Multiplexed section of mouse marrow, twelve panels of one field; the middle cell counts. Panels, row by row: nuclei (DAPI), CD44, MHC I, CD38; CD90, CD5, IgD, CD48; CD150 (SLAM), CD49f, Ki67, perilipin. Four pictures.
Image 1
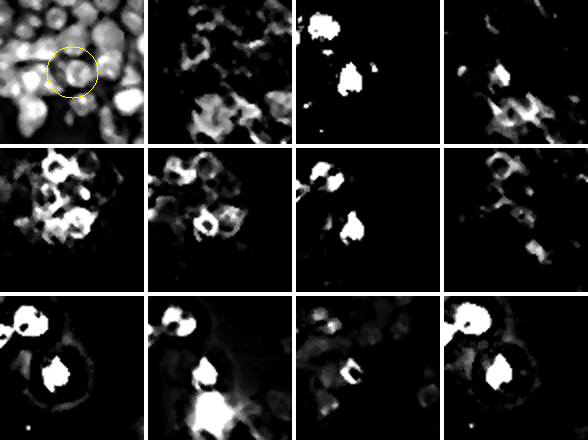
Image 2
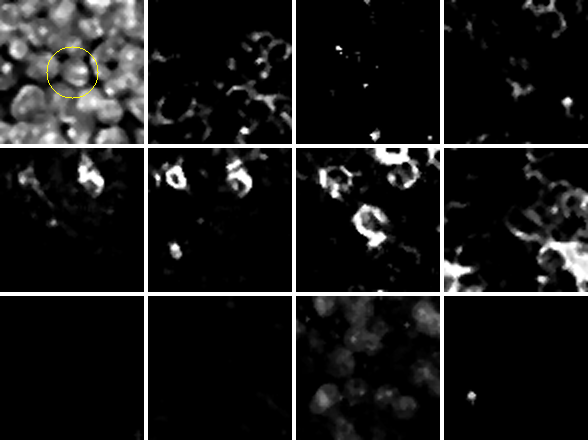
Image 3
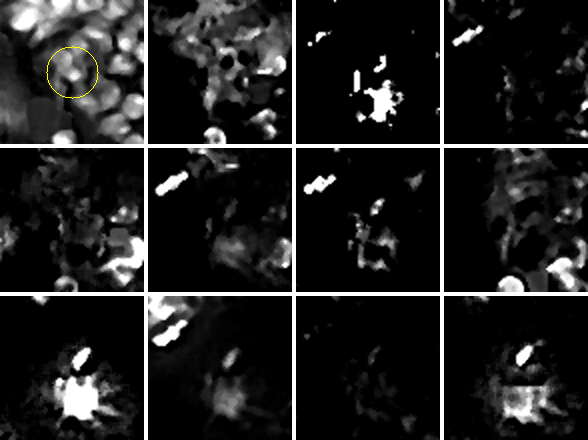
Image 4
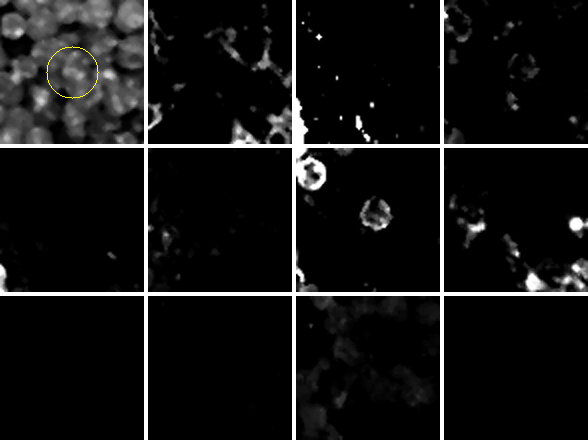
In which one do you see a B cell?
In picture 2.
